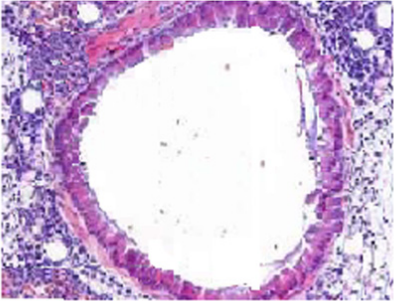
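This is lung tissue with a large airway at its centre, surrounded by dense collections of inflammatory cells. The airway is lined by a continuous pink epithelium, with nuclei arranged in a row along its base. Beneath this lining, a thin pinkish band of wall separates it from the surrounding tissue. Around the airway, and especially on its left and right sides, many small, round, darkly purple nuclei are crowded together. These are the infiltrating inflammatory cells. The crowding makes the tissue look dense and blue-purple, and it fills much of the space between the airway and the few remaining open air spaces.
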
